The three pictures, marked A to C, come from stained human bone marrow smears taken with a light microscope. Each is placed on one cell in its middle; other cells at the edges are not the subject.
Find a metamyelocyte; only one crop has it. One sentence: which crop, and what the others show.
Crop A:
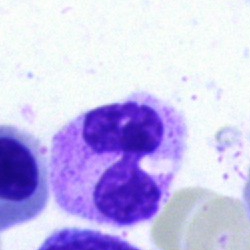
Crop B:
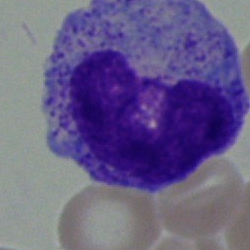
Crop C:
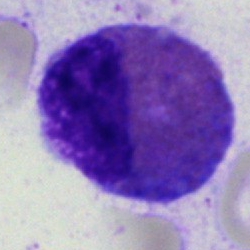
While crop A is a segmented neutrophil and crop C is an eosinophil, crop B shows a metamyelocyte.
